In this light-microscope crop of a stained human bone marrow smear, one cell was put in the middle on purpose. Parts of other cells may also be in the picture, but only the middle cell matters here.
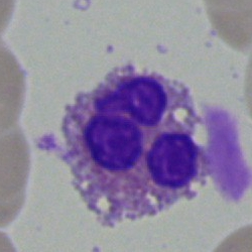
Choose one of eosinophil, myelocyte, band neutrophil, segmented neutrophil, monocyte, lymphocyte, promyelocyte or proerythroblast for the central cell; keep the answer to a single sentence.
The cell in the middle of this crop is an eosinophil.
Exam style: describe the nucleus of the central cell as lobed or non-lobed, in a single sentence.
One defining trait here is a nucleus of two or more segments.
